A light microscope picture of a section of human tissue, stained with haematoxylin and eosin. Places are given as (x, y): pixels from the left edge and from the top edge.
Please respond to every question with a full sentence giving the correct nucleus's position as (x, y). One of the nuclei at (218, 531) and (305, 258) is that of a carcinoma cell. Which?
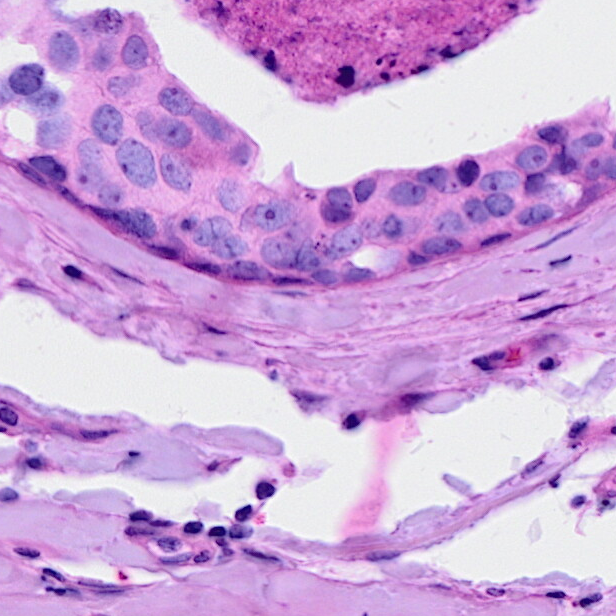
Here the nucleus at (305, 258) is the one that belongs to a carcinoma cell.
